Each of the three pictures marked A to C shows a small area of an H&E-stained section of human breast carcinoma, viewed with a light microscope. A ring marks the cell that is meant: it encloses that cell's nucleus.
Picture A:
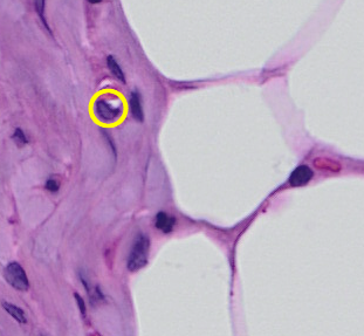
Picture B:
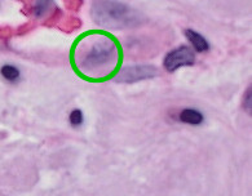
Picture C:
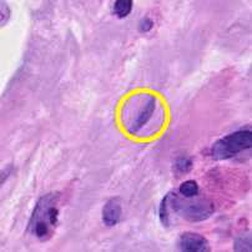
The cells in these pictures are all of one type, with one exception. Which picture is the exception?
C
